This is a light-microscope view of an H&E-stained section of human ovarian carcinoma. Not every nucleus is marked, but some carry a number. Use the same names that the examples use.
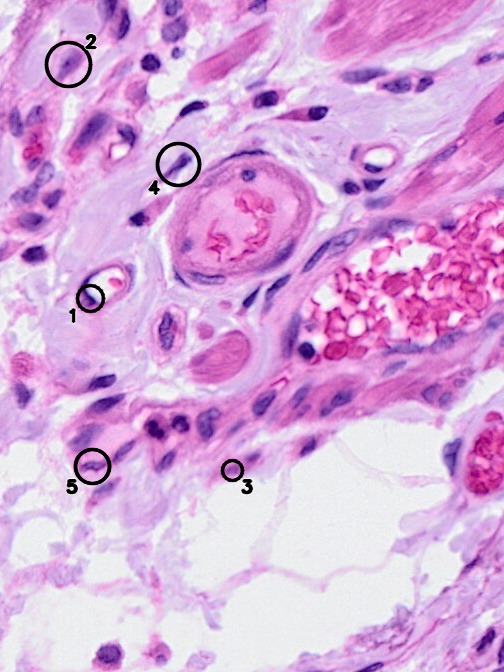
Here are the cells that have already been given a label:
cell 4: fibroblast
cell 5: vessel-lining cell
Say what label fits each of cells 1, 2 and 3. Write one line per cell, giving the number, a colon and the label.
1: vessel-lining cell
2: fibroblast
3: vessel-lining cell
